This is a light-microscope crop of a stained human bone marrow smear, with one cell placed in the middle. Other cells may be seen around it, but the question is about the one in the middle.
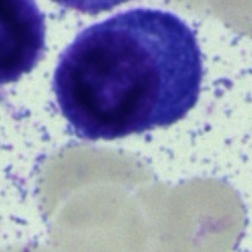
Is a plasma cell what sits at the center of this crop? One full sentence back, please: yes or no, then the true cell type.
Yes, the cell found in the middle is a plasma cell.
